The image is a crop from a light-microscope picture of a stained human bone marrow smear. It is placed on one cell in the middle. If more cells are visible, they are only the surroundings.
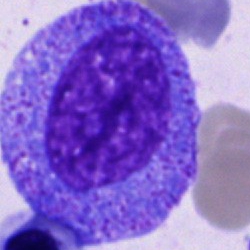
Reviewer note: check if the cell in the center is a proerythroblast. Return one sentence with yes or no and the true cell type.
No, this one is a promyelocyte; it is not a proerythroblast.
